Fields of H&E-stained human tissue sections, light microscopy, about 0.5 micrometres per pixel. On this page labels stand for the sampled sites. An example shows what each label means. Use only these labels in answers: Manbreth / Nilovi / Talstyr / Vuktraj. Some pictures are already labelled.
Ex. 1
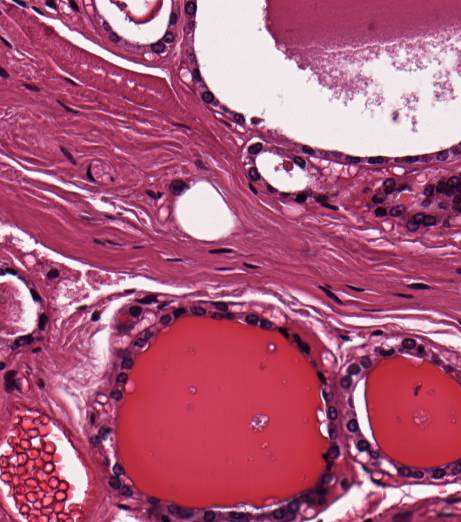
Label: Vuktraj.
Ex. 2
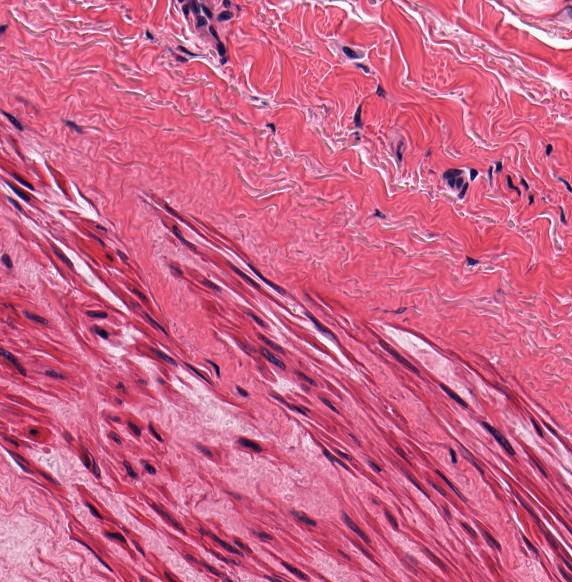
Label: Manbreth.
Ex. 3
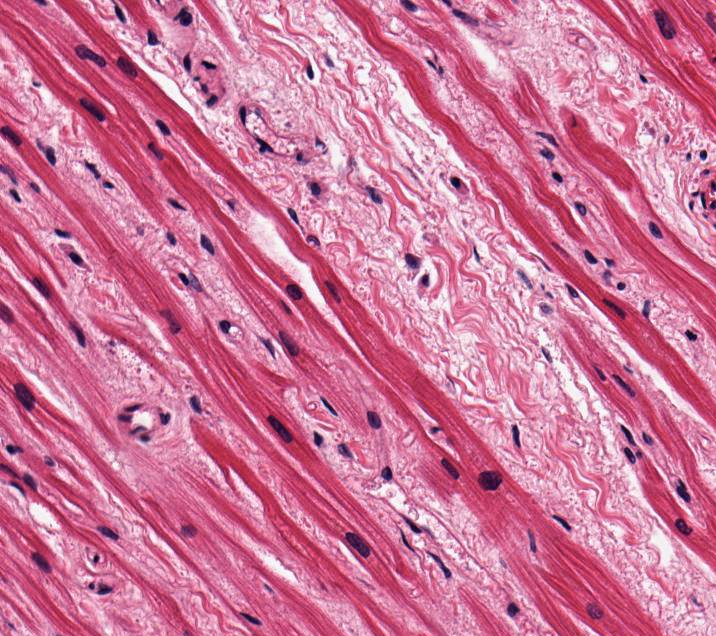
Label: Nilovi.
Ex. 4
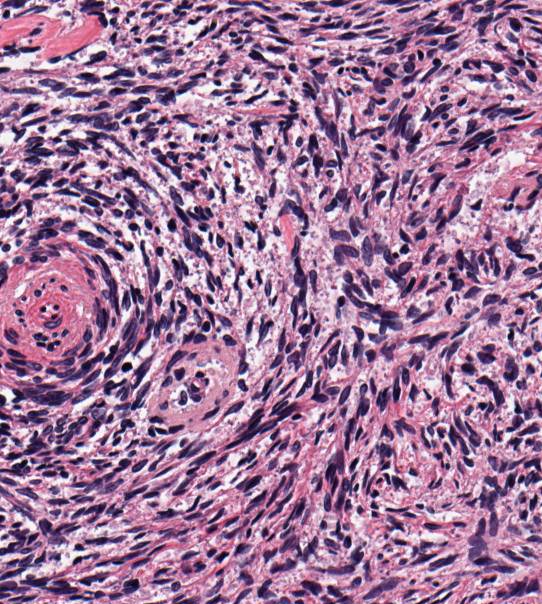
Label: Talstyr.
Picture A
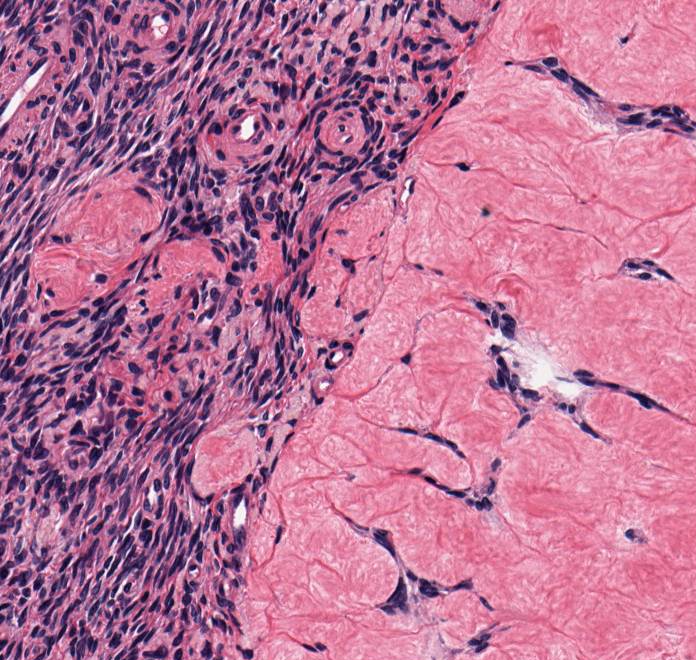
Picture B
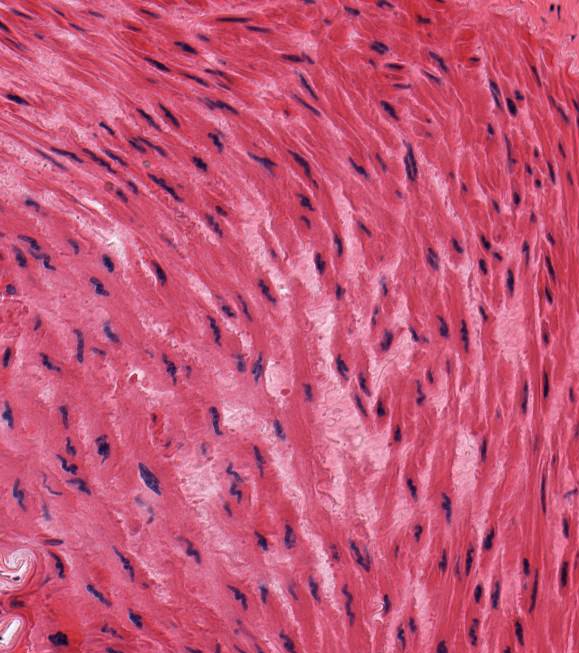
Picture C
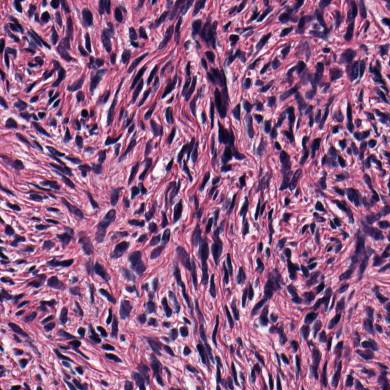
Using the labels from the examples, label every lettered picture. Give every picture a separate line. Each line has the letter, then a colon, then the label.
A: Talstyr.
B: Manbreth.
C: Talstyr.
